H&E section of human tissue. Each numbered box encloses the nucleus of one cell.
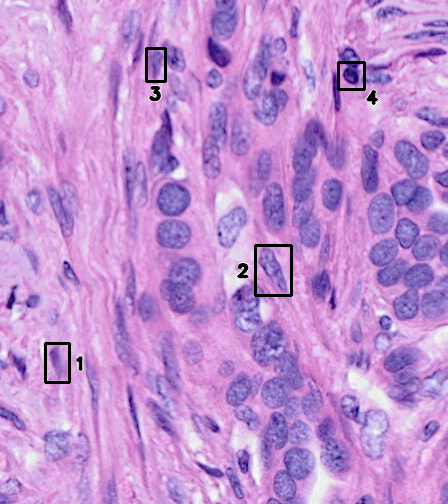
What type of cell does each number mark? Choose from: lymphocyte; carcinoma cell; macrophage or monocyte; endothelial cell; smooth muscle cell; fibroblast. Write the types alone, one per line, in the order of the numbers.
fibroblast
fibroblast
fibroblast
lymphocyte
